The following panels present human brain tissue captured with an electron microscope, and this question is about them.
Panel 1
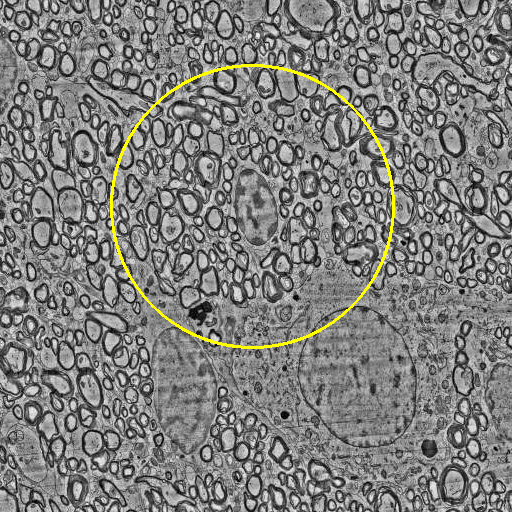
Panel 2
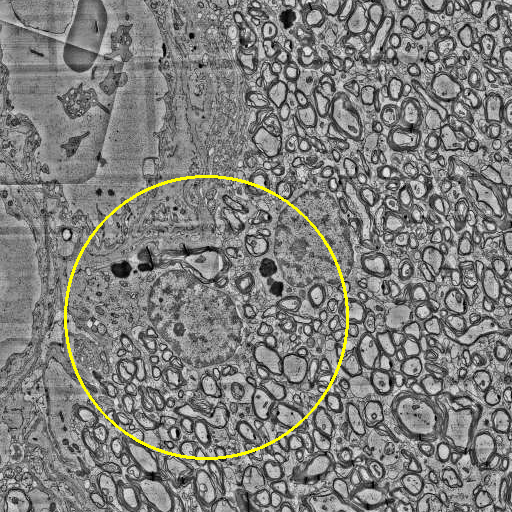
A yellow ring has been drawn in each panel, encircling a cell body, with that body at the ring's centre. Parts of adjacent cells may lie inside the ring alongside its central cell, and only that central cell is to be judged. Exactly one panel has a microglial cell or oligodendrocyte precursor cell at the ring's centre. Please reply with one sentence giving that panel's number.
The ring whose central cell fits the description is the one in panel 1.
